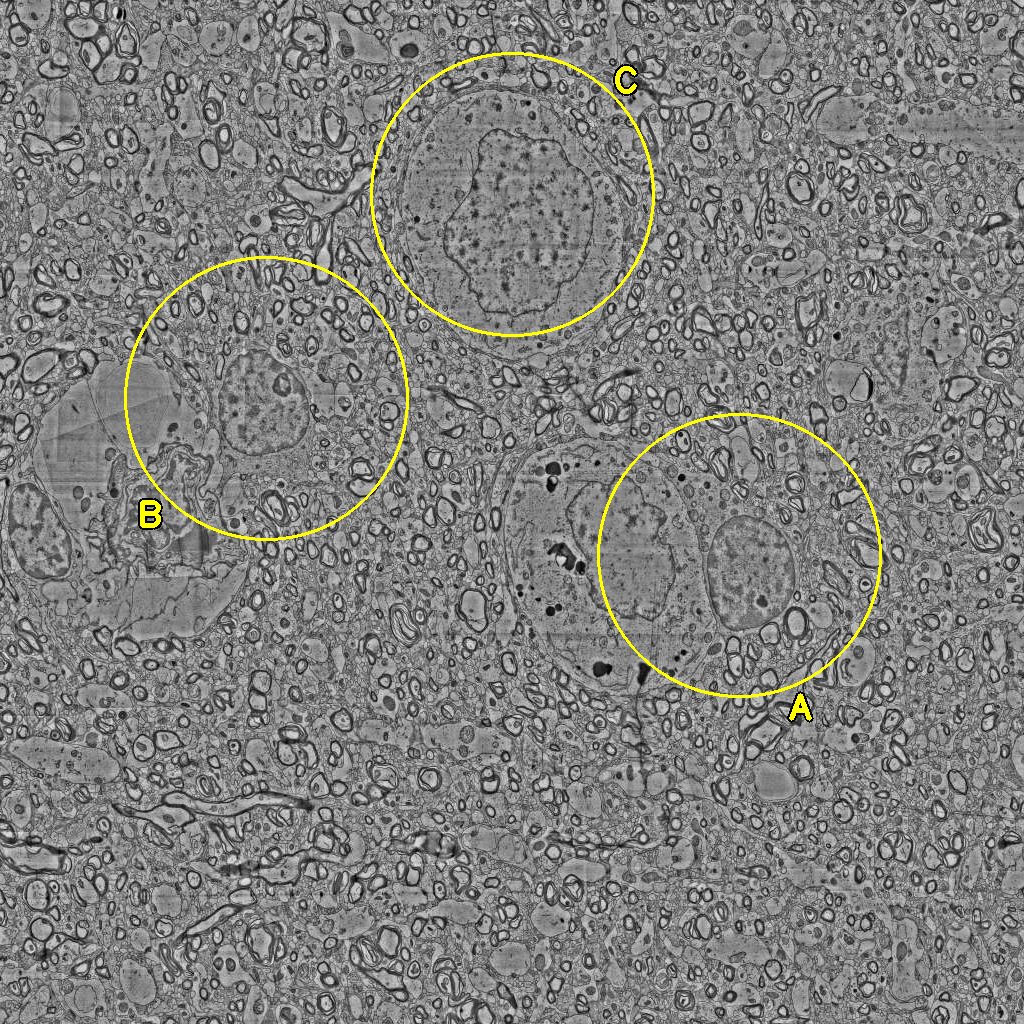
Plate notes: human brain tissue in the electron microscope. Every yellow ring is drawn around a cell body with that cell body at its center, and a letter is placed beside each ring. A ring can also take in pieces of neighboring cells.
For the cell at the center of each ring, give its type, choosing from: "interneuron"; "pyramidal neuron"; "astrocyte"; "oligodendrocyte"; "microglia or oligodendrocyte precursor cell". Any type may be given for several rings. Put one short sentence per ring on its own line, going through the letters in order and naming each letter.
Ring A shows an oligodendrocyte at the center.
Ring B shows an oligodendrocyte at the center.
Ring C shows a pyramidal neuron at the center.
